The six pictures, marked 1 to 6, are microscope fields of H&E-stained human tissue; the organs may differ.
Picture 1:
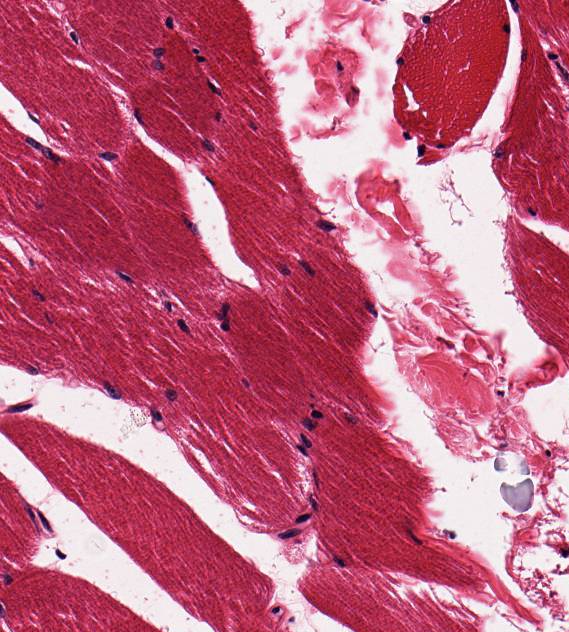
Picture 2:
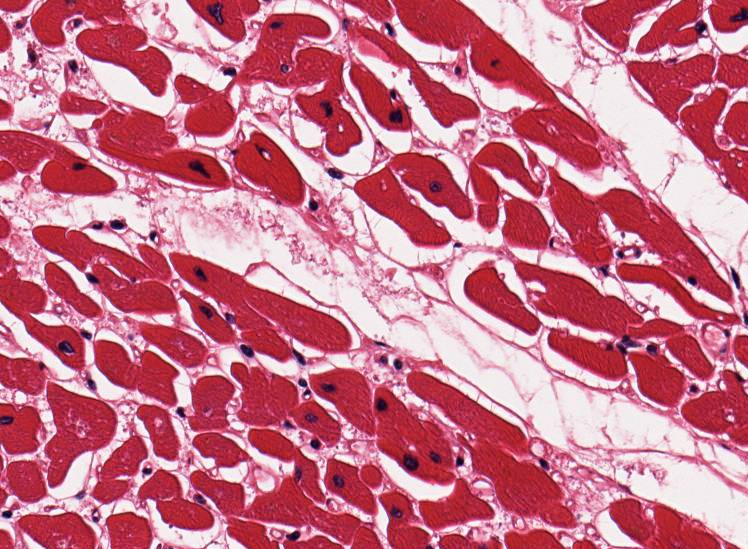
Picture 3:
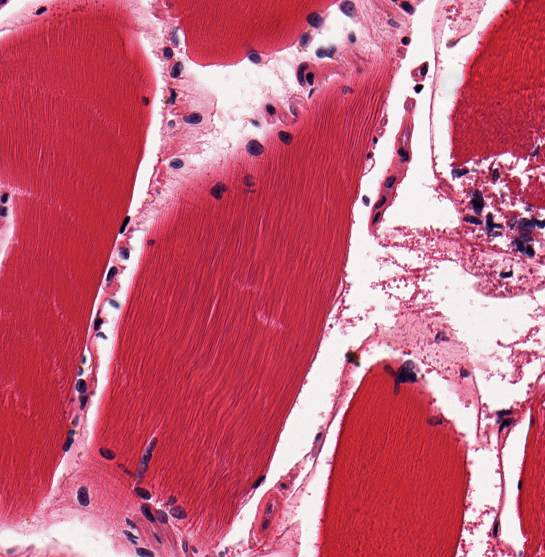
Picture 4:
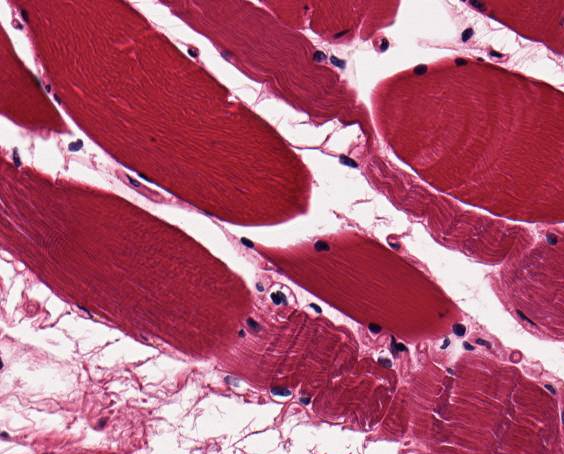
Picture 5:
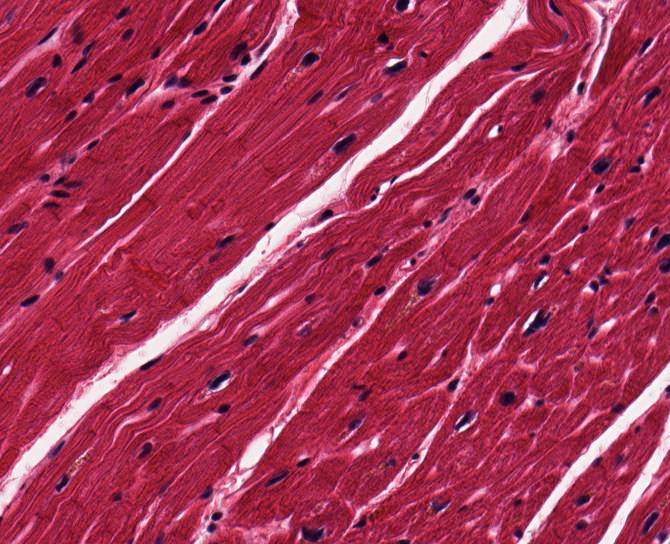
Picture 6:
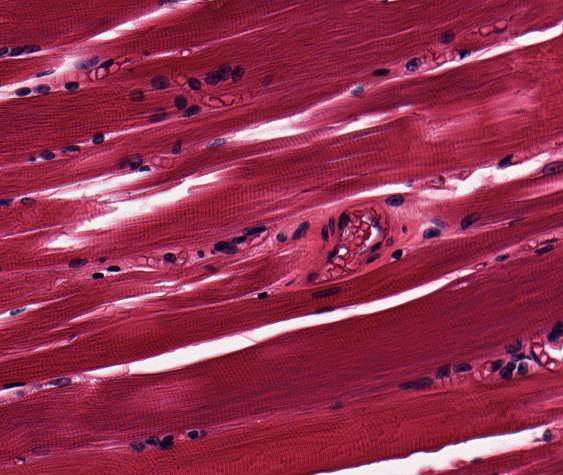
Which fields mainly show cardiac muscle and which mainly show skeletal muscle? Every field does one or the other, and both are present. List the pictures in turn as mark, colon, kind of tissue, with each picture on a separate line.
1: skeletal muscle
2: cardiac muscle
3: skeletal muscle
4: skeletal muscle
5: cardiac muscle
6: skeletal muscle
